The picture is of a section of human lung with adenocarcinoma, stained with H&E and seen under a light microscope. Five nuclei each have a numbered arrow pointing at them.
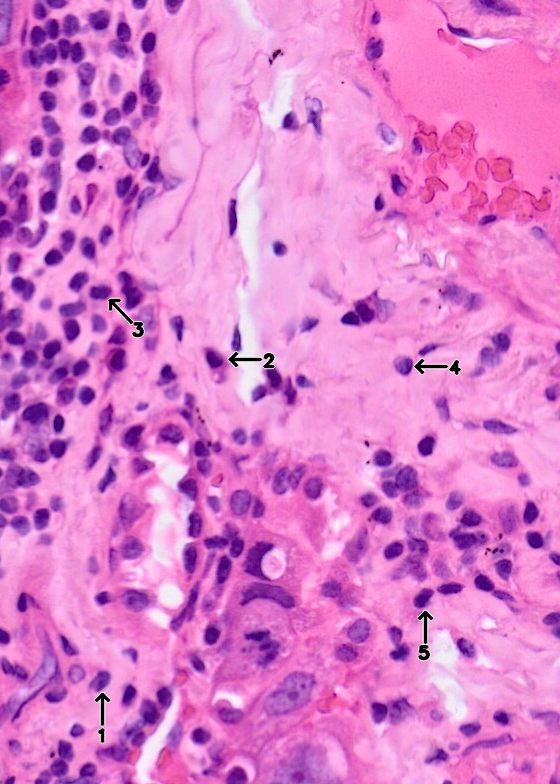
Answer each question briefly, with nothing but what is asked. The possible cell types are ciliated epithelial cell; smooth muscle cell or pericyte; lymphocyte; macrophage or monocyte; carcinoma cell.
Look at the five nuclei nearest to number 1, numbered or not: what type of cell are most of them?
smooth muscle cell or pericyte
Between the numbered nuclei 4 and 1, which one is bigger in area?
1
